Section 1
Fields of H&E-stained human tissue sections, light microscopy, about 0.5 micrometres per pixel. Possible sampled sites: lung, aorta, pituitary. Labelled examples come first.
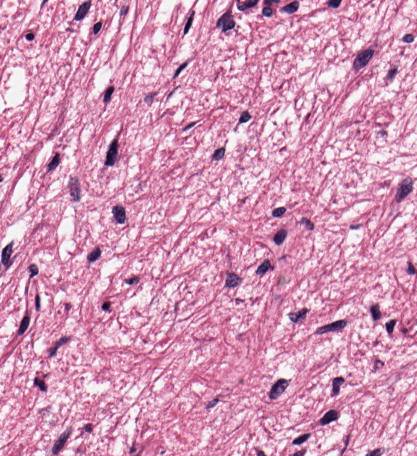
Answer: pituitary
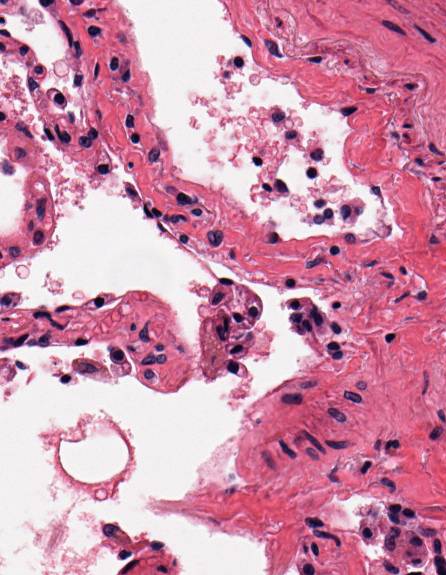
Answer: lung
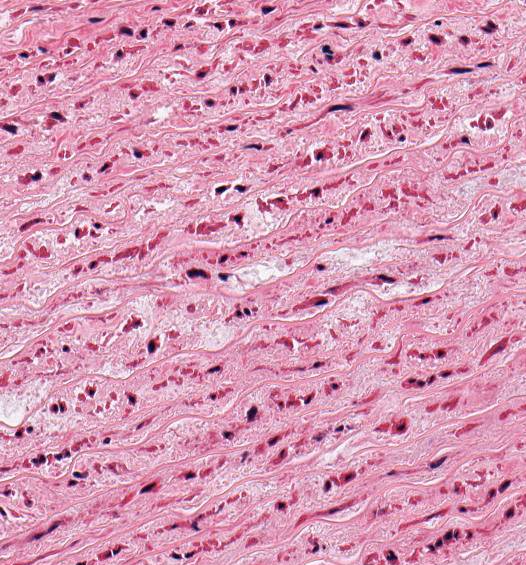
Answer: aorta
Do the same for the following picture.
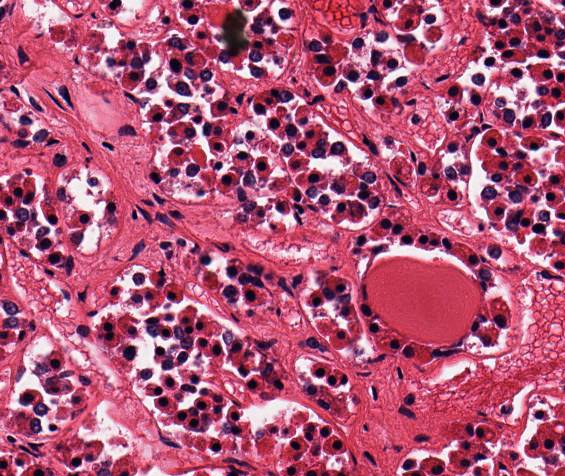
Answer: pituitary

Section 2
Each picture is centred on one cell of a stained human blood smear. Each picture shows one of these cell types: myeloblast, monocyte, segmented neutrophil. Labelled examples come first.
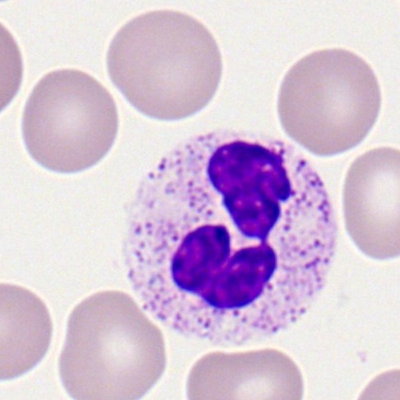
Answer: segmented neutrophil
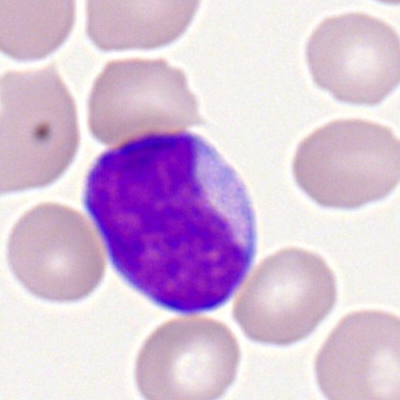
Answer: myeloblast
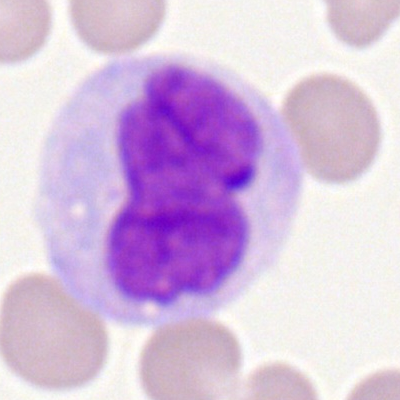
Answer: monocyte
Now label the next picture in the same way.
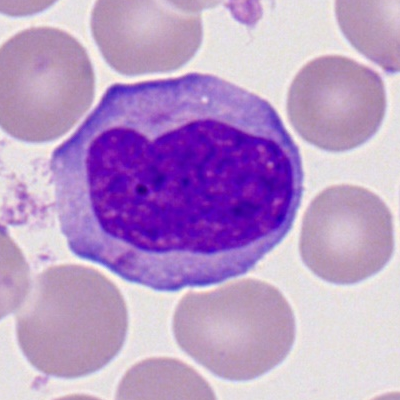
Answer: monocyte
